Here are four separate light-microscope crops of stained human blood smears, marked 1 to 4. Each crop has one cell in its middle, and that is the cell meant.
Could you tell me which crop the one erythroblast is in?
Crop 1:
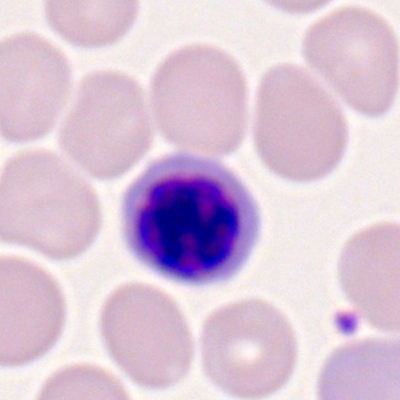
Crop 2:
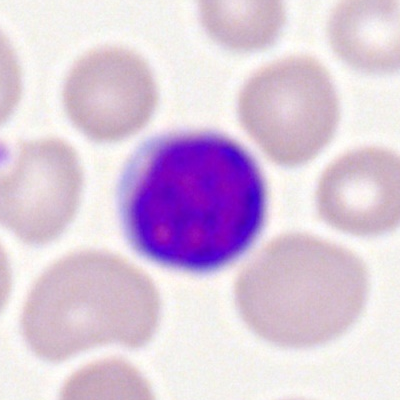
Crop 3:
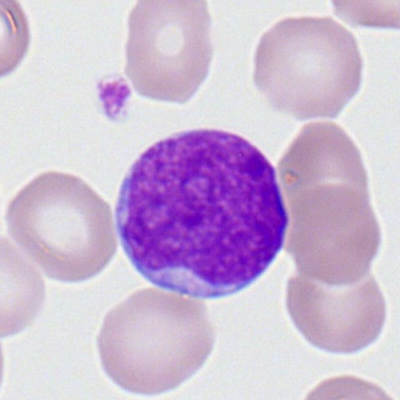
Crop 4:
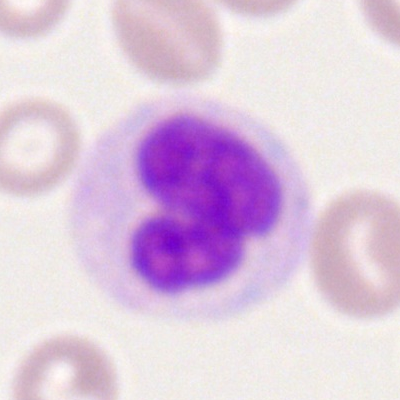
1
